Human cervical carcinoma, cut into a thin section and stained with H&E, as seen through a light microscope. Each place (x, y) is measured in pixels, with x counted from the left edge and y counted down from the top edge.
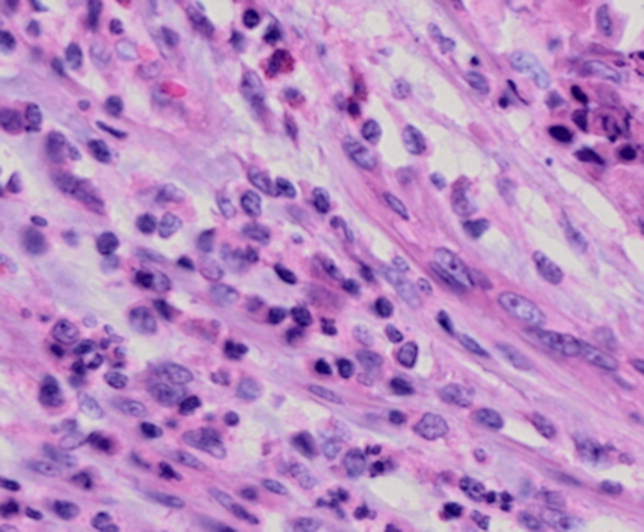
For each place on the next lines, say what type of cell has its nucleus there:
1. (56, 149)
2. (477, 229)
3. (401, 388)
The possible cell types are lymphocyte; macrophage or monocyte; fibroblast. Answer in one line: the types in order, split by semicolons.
macrophage or monocyte; lymphocyte; lymphocyte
